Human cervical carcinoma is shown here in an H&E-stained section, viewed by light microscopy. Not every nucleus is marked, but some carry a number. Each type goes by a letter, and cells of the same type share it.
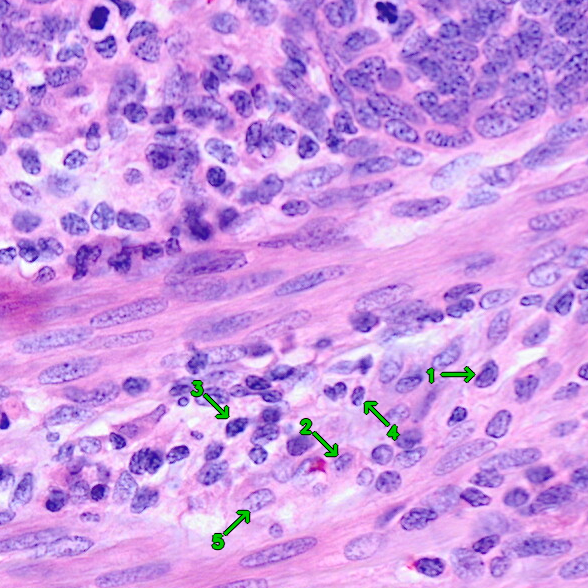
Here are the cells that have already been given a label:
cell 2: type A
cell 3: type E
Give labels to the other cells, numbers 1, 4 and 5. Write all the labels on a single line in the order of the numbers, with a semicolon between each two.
type E; type E; type A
